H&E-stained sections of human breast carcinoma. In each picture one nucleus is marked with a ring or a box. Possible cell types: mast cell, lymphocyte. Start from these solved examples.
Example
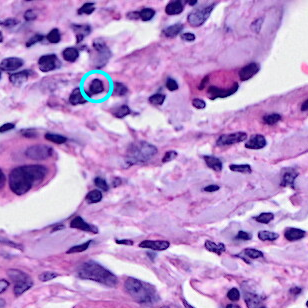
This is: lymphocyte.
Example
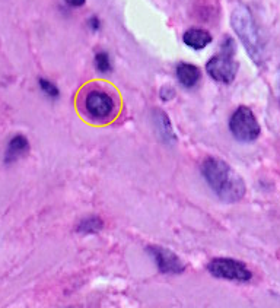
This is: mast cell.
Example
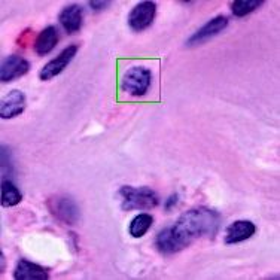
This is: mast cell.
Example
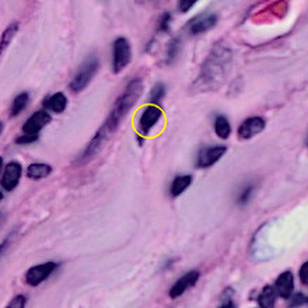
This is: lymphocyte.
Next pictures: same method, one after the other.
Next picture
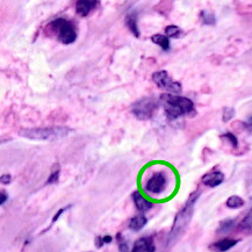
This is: lymphocyte.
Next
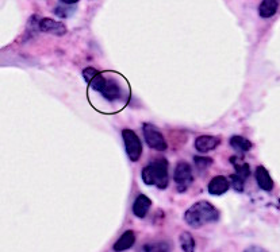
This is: lymphocyte.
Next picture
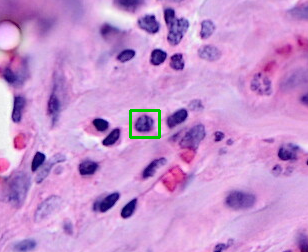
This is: mast cell.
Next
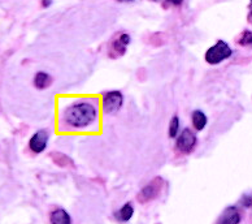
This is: mast cell.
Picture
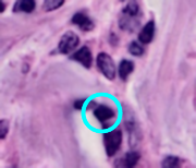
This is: lymphocyte.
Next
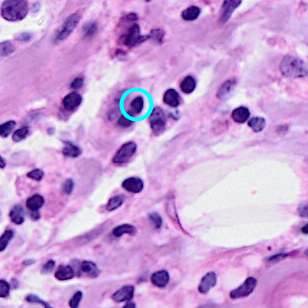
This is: lymphocyte.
